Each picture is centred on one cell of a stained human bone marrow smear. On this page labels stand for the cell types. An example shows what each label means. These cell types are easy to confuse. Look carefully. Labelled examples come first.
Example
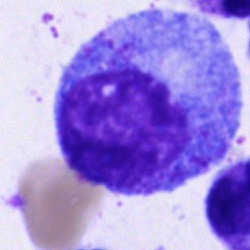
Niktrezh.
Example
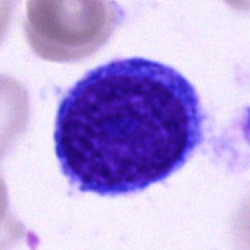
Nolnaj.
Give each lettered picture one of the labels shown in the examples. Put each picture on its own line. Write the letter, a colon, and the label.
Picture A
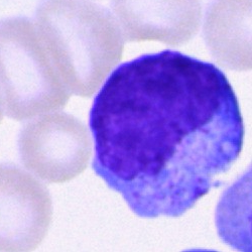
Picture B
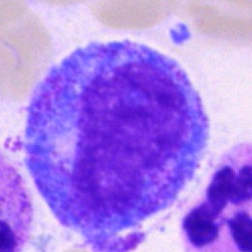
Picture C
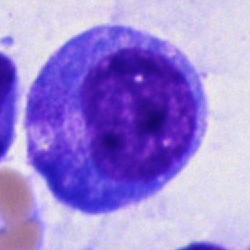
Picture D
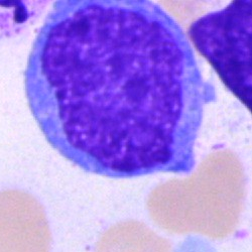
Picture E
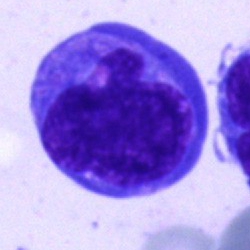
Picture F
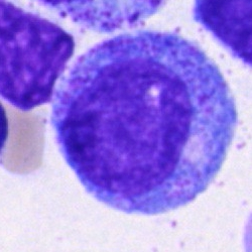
A: Niktrezh.
B: Niktrezh.
C: Niktrezh.
D: Nolnaj.
E: Nolnaj.
F: Niktrezh.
